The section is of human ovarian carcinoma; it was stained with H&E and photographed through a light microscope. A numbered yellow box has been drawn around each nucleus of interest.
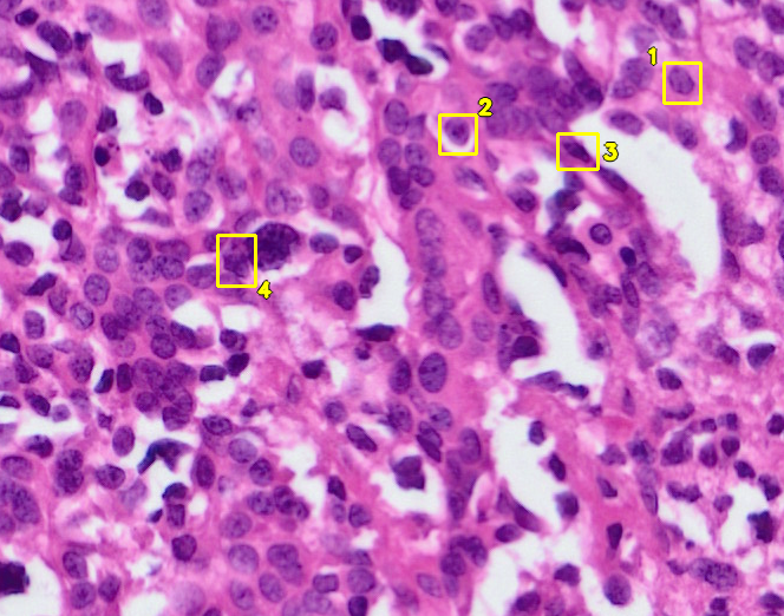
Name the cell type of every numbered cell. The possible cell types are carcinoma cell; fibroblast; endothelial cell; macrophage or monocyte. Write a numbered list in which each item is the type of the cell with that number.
1. macrophage or monocyte
2. carcinoma cell
3. carcinoma cell
4. carcinoma cell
